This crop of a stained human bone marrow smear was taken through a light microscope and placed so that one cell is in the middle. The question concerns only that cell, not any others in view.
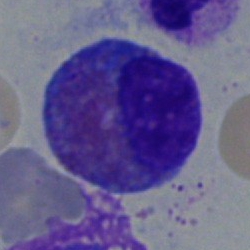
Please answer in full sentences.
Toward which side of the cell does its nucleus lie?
Seen from the middle of the cell, the nucleus lies toward the right.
